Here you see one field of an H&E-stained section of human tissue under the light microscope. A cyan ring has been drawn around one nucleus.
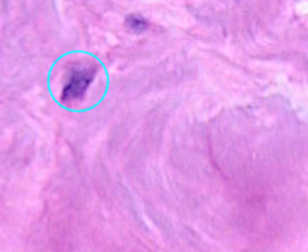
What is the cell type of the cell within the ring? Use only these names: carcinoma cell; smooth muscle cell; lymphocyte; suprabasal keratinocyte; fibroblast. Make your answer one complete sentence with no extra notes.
In this section of tissue, the cell within the ring is a fibroblast.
